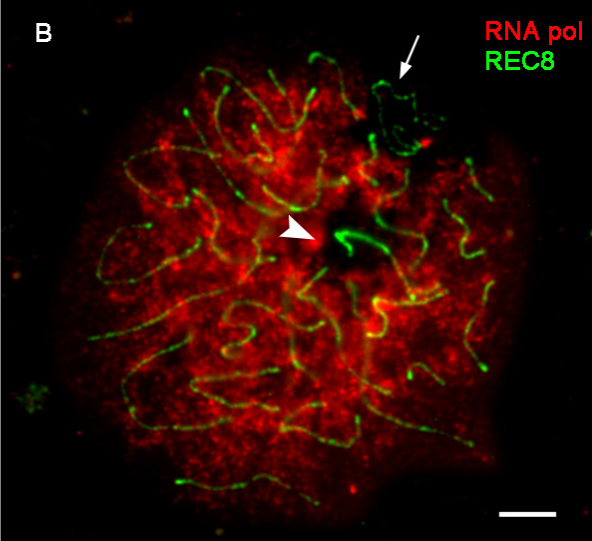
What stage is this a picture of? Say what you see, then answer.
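Pachytene spermatocyte. Long, continuous thread-like green axes run across the whole nucleus. The axes appear as single threads along most of their length.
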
